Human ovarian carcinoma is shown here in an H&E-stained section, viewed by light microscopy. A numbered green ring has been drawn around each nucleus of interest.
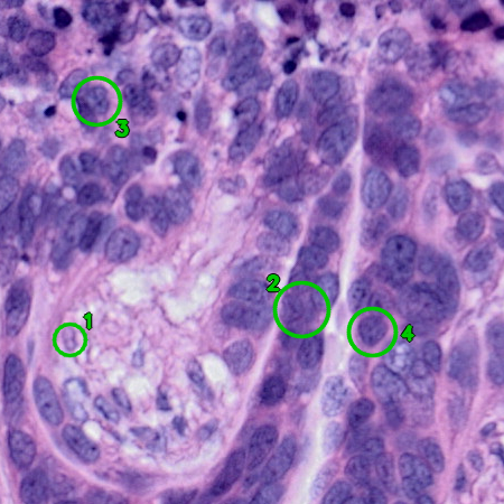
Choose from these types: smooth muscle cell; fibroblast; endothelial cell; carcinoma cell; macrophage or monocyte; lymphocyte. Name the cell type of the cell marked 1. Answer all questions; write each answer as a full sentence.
Of the numbered cells, the one labelled 1 is a fibroblast.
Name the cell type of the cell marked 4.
Classified as a carcinoma cell is the cell with the number 4.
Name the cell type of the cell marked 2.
Numbered cell 2 is a carcinoma cell in this tissue section.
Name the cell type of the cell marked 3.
The one numbered 3 among the marked cells is a carcinoma cell.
